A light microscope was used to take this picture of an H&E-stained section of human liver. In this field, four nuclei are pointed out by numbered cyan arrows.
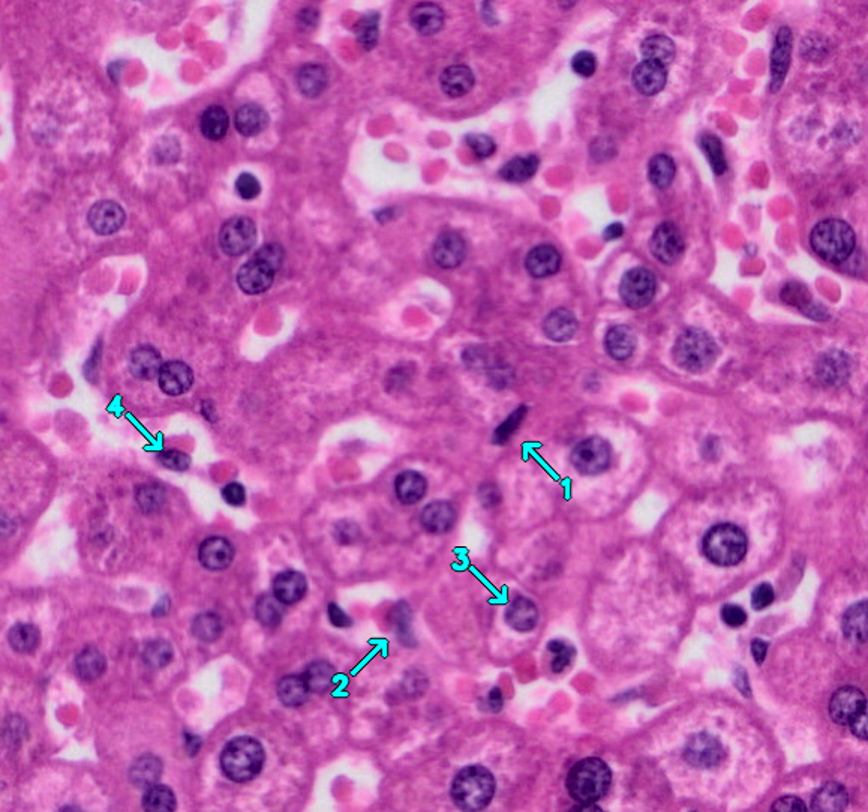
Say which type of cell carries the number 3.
hepatocyte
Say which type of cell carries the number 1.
fibroblast or stellate cell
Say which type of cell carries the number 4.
Kupffer cell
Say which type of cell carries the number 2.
Kupffer cell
